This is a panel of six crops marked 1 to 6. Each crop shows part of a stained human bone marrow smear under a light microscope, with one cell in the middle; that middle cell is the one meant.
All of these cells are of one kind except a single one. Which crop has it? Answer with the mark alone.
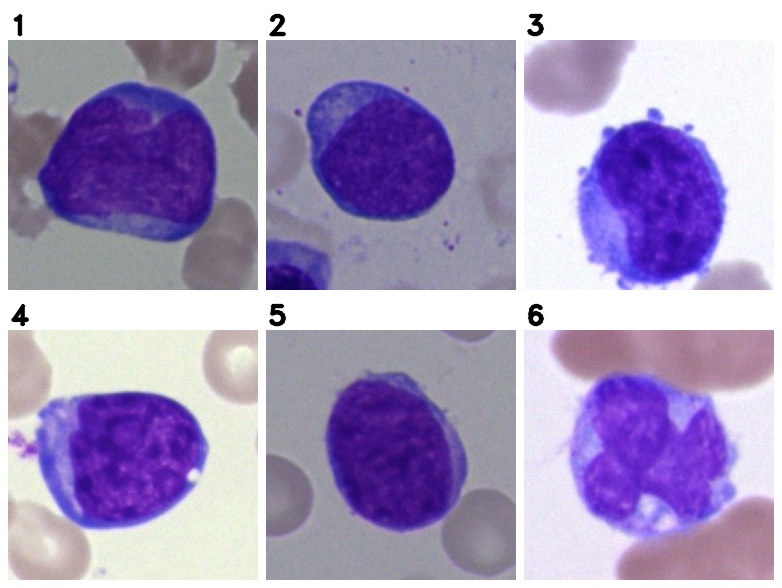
6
